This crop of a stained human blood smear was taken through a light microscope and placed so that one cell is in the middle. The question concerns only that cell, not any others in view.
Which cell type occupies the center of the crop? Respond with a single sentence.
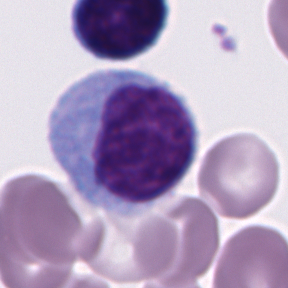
On this slide crop, the central cell is a monocyte.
